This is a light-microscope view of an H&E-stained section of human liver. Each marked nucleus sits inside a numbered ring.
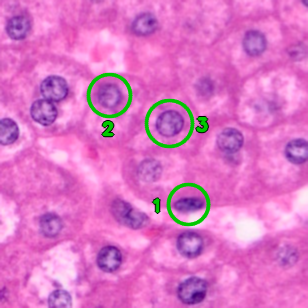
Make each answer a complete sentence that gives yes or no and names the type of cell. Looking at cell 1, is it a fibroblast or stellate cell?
Yes, correct, the cell with the number 1 is a fibroblast or stellate cell.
